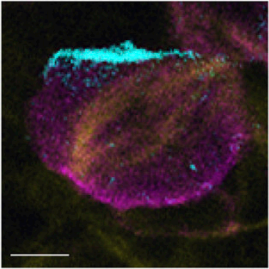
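A large, rounded dividing neuroblast is shown with a bright cyan cap along its upper cortex and magenta signal filling and lining the rest of the cell. Faint yellow spindle fibres cross the cell at a slant. Thin yellow and magenta outlines of smaller neighbouring cells border it at the edges.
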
